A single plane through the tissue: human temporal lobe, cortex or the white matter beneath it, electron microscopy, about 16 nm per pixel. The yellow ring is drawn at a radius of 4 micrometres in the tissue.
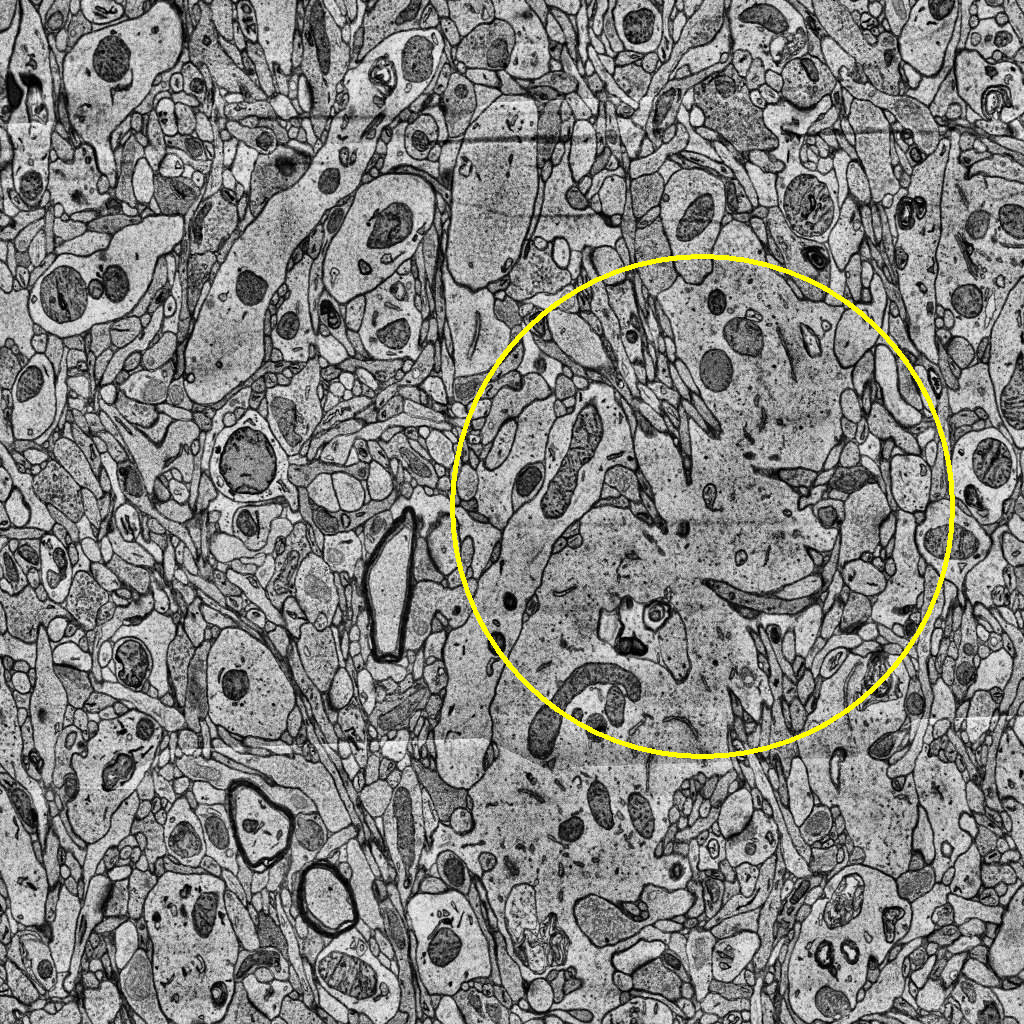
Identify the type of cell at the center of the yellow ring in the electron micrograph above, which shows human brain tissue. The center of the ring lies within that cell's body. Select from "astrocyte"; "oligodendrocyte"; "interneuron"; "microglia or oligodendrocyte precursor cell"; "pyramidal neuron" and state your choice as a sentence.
The center of the yellow ring lies in the body of an astrocyte.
